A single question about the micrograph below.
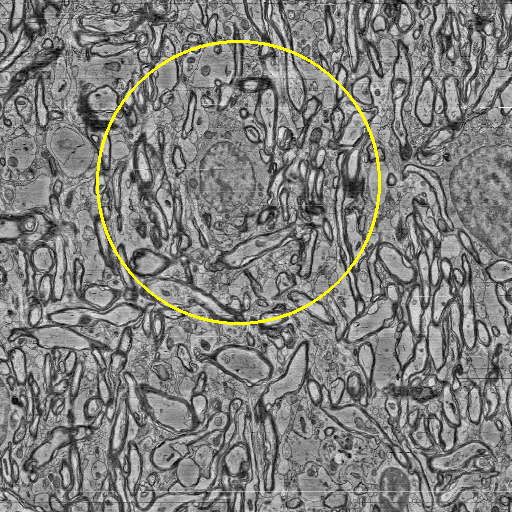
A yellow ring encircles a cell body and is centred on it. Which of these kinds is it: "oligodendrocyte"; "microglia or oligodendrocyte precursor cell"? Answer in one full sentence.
The cell body at the centre of the yellow ring belongs to an oligodendrocyte.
